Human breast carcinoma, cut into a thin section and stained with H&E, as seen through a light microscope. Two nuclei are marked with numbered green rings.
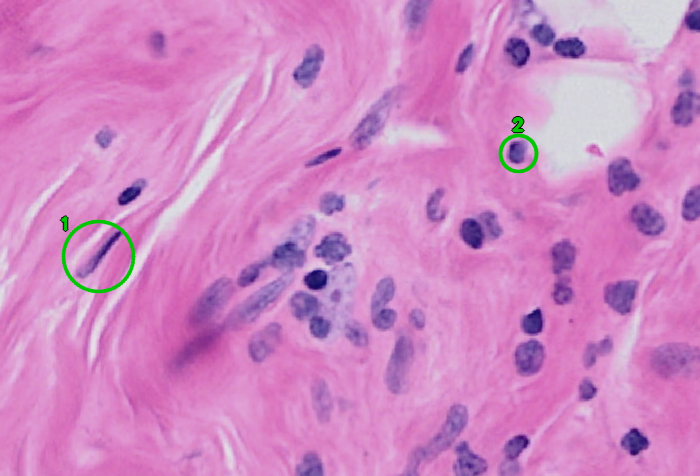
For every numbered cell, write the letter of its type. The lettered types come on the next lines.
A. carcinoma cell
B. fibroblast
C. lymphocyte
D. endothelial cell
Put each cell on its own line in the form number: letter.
1: B
2: C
